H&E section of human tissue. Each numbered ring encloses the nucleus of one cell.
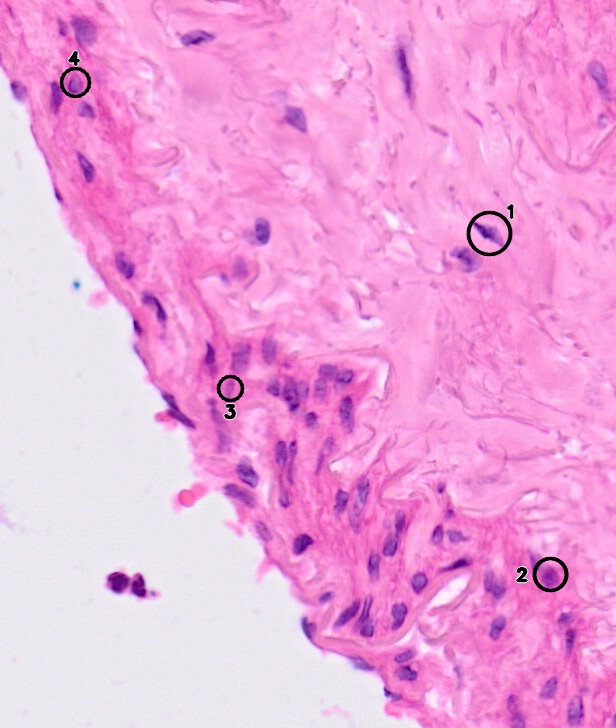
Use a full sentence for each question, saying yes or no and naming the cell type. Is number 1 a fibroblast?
Yes, regarding number 1, the cell is a fibroblast.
